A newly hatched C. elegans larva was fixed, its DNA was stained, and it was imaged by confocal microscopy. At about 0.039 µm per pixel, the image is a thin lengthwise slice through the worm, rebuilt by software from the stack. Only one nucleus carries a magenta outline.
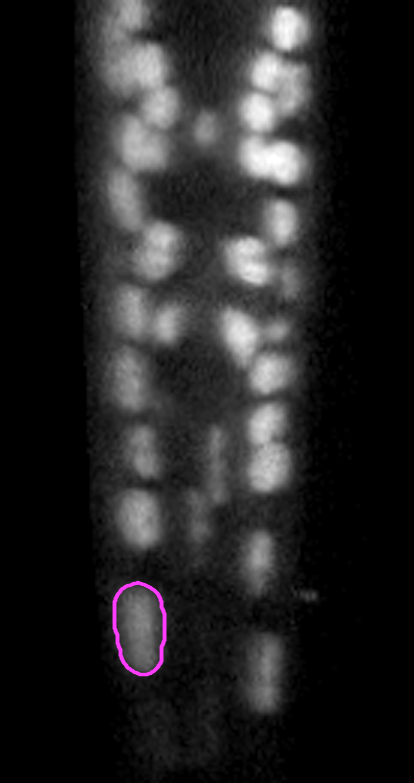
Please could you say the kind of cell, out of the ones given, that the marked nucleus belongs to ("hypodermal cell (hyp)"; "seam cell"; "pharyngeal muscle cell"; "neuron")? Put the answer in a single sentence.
What is marked is the nucleus of a hypodermal cell (hyp).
